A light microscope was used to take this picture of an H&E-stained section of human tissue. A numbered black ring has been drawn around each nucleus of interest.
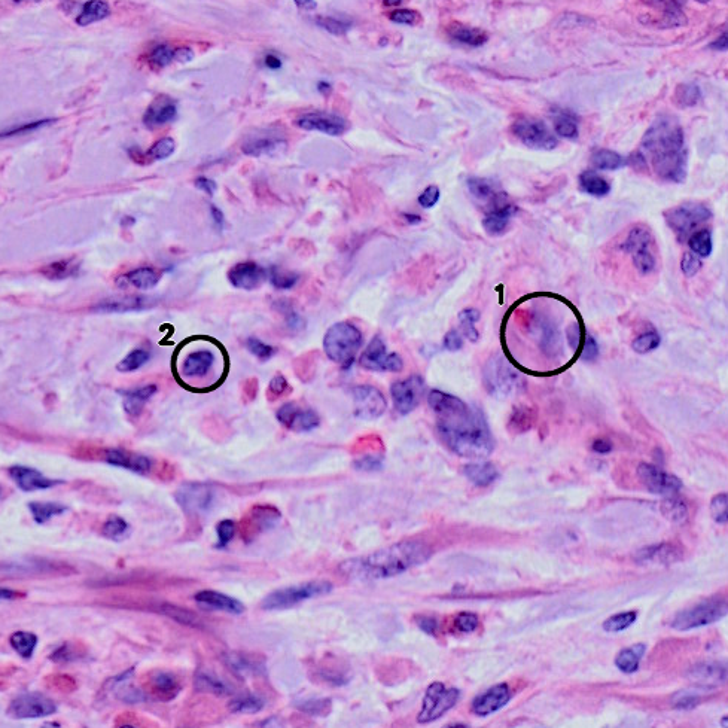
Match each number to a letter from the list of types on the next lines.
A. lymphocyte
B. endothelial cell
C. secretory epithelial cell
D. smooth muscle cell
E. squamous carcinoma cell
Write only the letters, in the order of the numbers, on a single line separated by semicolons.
B; A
